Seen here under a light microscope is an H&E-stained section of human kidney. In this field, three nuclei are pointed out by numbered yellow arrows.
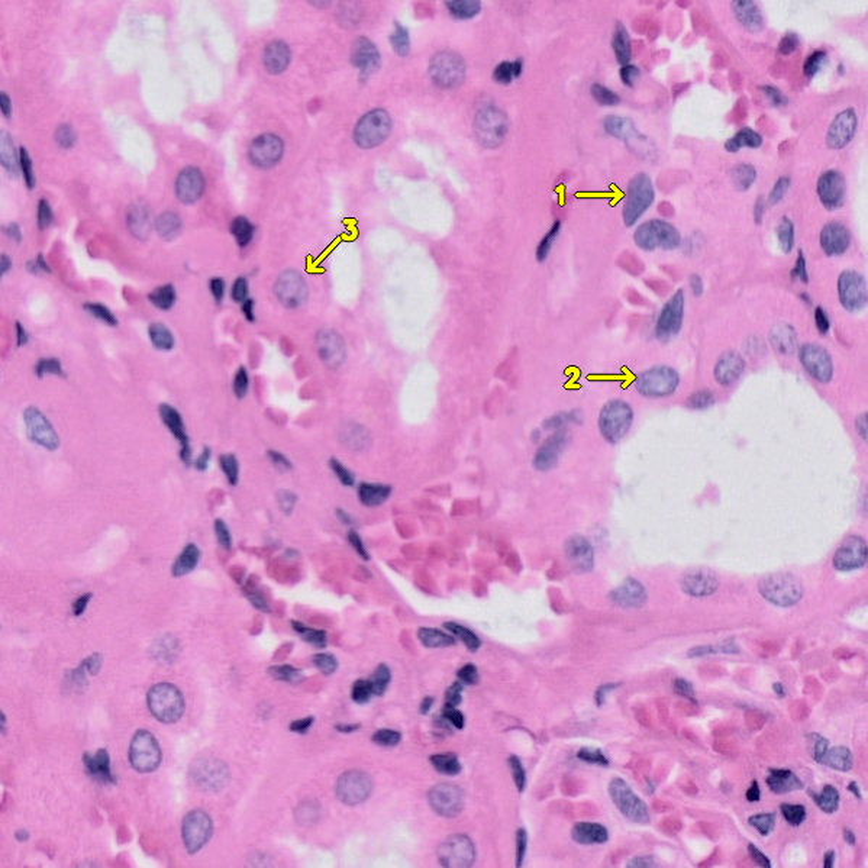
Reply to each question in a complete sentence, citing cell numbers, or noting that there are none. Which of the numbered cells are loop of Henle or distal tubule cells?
Only the cell numbered 2 is a loop of Henle or distal tubule cell; none of the others is.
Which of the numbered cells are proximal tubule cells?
Among the labelled cells, only the cell labelled 3 is a proximal tubule cell.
